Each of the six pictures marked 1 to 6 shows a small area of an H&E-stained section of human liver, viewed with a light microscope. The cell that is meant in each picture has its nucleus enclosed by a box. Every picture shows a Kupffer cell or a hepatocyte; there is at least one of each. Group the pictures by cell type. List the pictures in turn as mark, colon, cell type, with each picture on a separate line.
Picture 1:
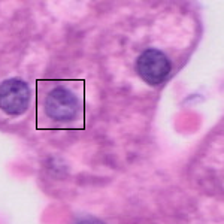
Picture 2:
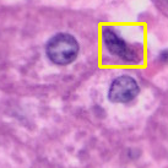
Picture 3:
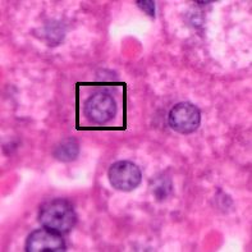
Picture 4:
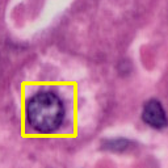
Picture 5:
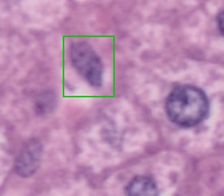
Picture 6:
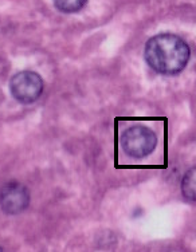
1: hepatocyte
2: Kupffer cell
3: hepatocyte
4: hepatocyte
5: Kupffer cell
6: hepatocyte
